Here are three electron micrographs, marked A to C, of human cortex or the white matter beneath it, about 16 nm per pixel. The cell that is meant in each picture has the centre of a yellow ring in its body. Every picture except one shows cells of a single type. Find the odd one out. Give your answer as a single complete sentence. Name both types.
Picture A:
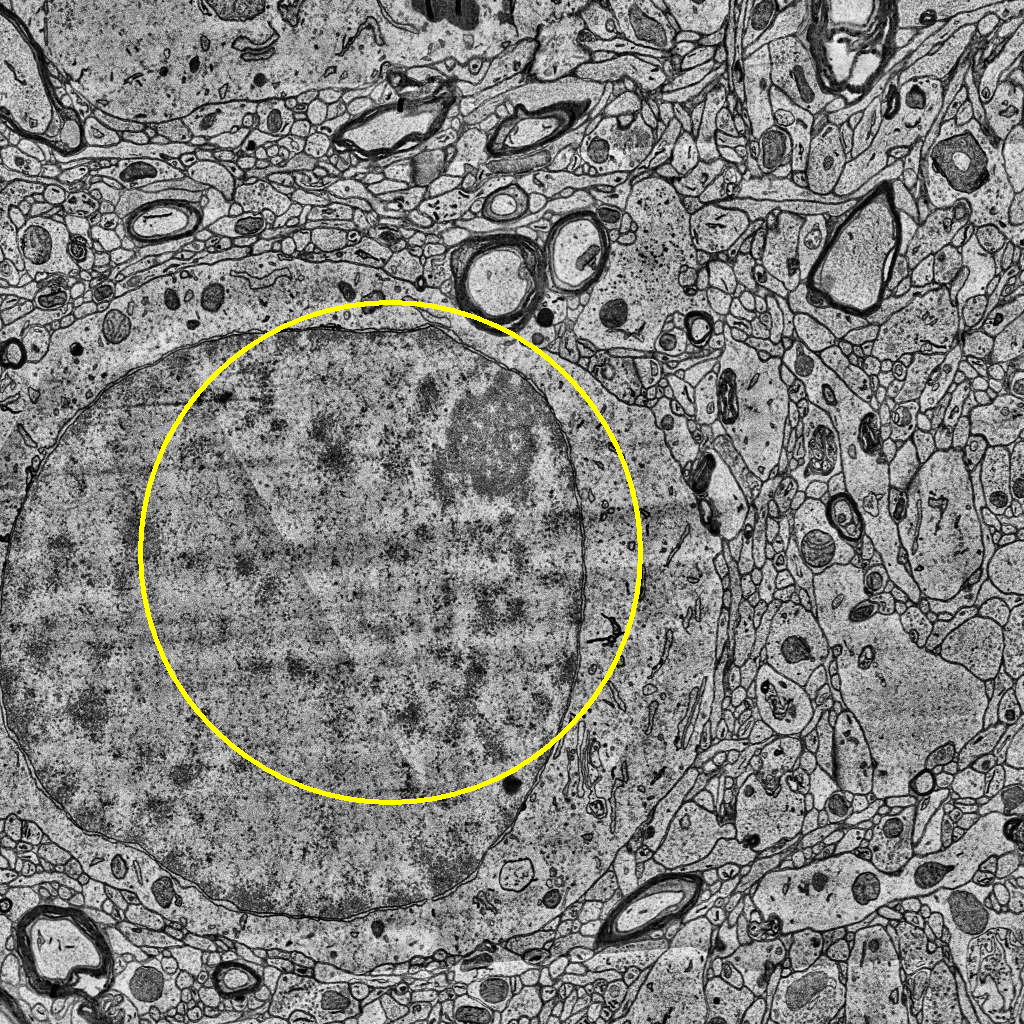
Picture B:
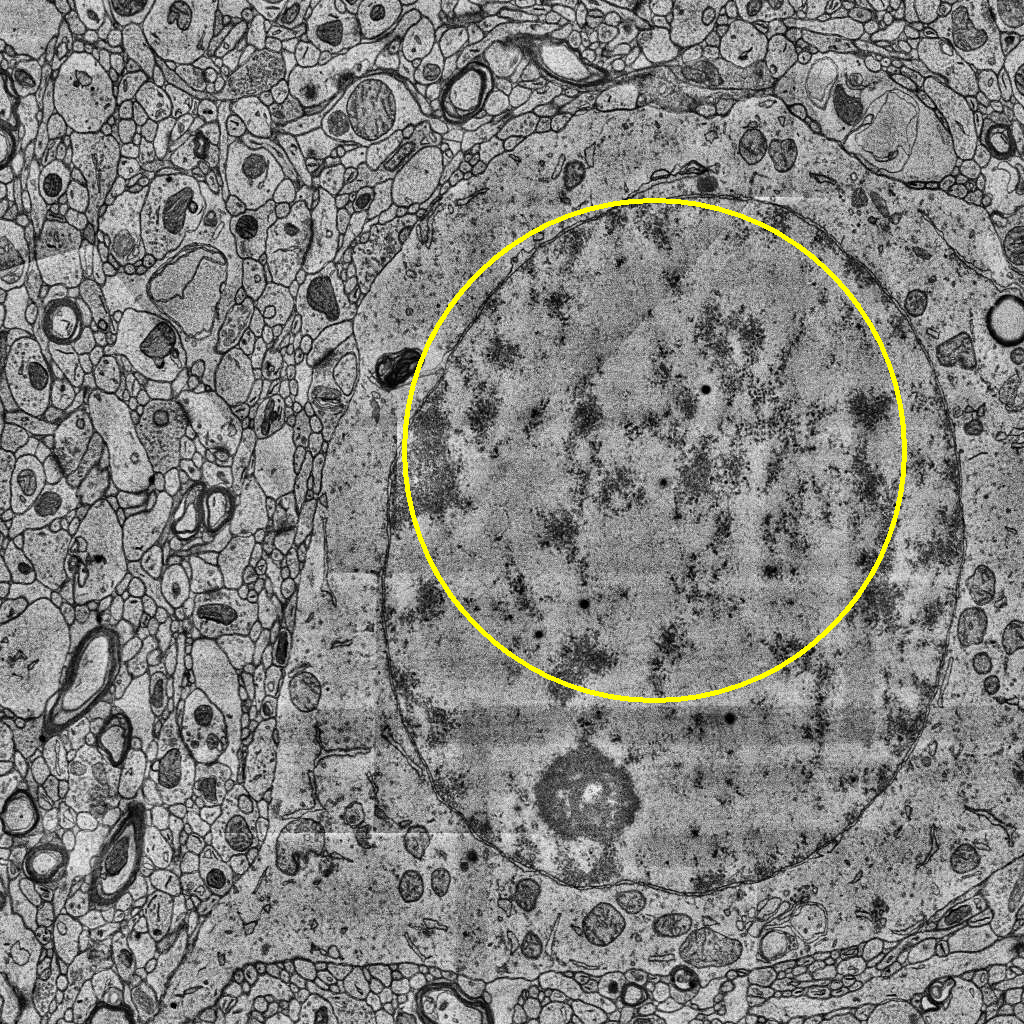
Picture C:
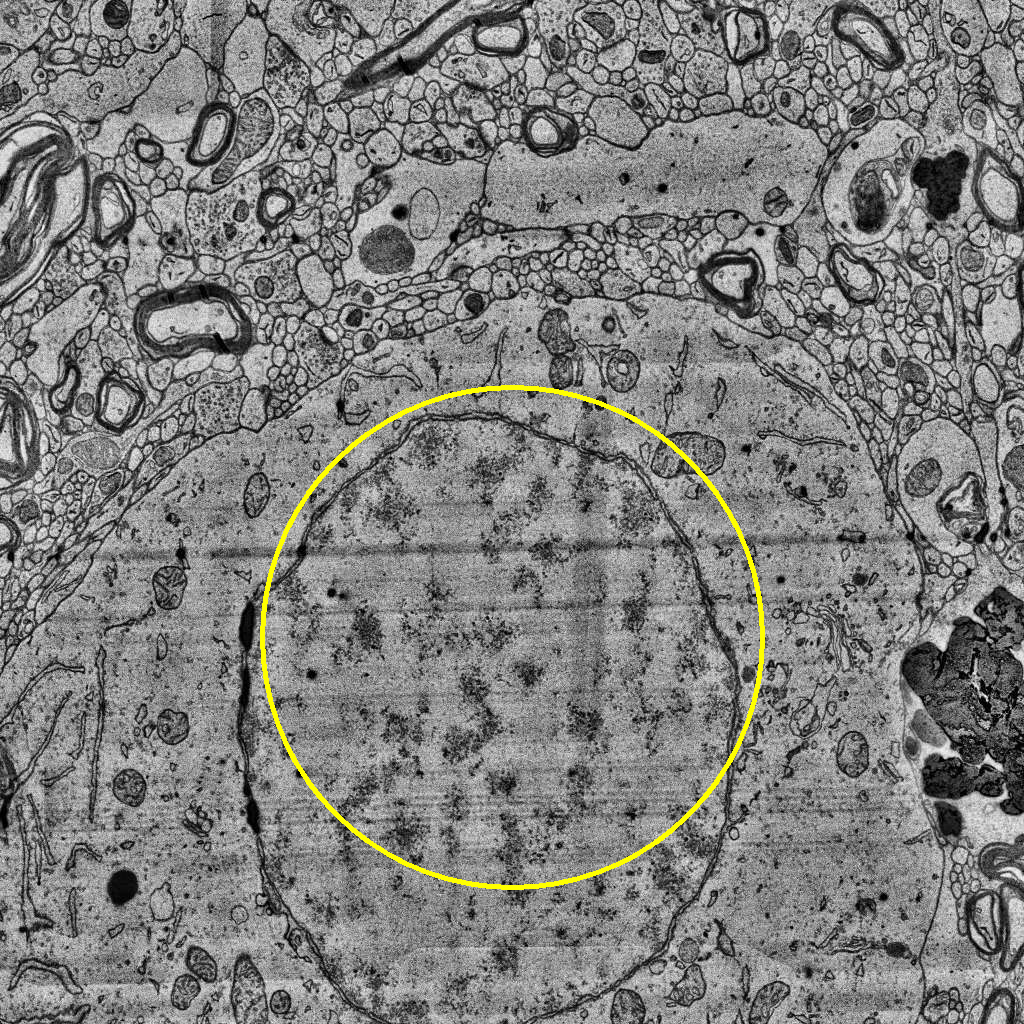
All pictures except A show pyramidal neurons; picture A shows an interneuron.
